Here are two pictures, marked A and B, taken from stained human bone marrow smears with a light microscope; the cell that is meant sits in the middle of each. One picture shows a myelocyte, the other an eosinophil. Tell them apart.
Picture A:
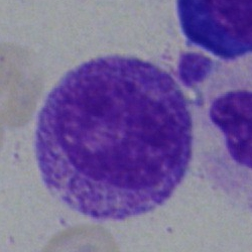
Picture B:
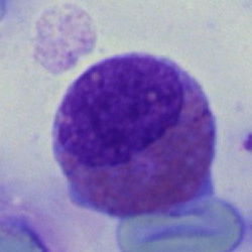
A: myelocyte
B: eosinophil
